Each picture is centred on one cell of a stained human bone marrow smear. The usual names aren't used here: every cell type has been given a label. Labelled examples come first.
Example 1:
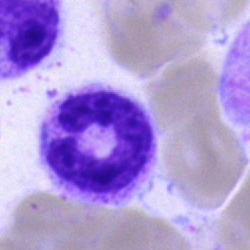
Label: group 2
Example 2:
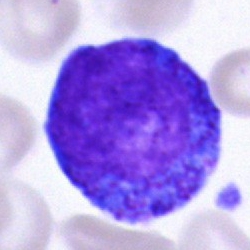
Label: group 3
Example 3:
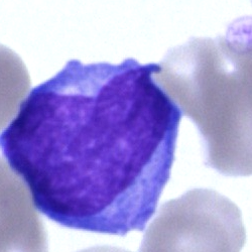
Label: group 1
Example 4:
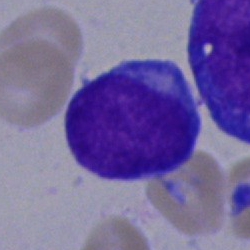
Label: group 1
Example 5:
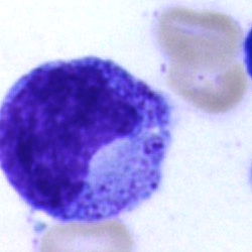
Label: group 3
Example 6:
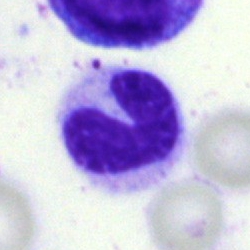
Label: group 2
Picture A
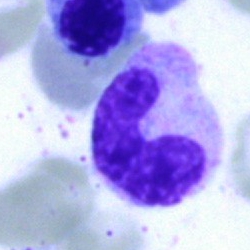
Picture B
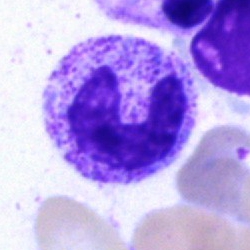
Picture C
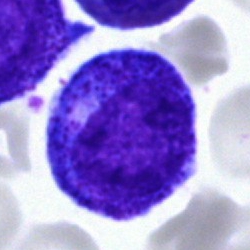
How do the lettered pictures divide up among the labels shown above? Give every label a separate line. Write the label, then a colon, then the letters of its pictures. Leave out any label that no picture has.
group 2: A, B
group 3: C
